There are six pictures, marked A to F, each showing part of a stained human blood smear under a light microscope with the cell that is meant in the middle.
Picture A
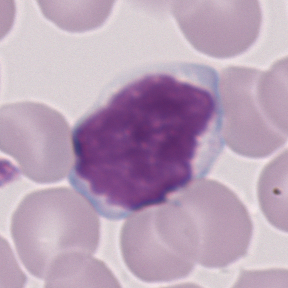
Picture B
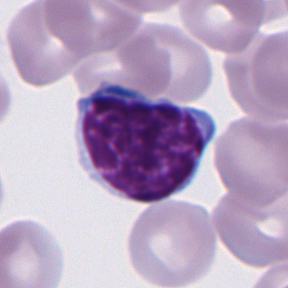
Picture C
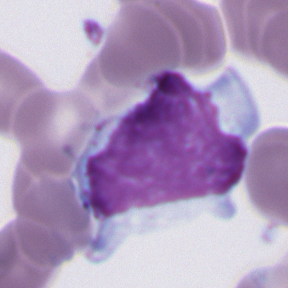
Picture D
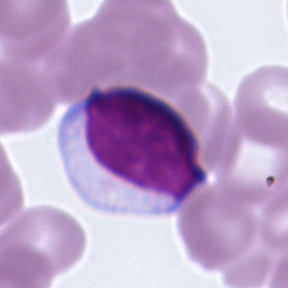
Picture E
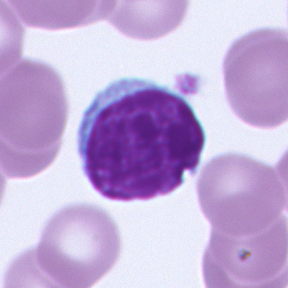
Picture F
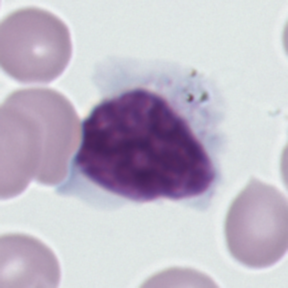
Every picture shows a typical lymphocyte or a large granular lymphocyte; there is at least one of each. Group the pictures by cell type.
A: typical lymphocyte
B: typical lymphocyte
C: typical lymphocyte
D: large granular lymphocyte
E: typical lymphocyte
F: large granular lymphocyte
